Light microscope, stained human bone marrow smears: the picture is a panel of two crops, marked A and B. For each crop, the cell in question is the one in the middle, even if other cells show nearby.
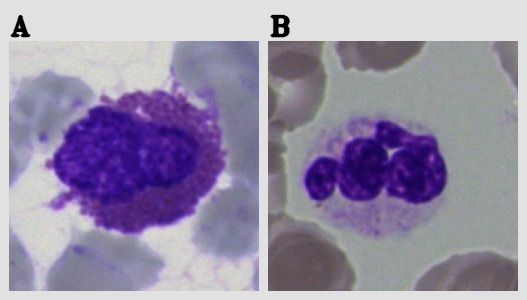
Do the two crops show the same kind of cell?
no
